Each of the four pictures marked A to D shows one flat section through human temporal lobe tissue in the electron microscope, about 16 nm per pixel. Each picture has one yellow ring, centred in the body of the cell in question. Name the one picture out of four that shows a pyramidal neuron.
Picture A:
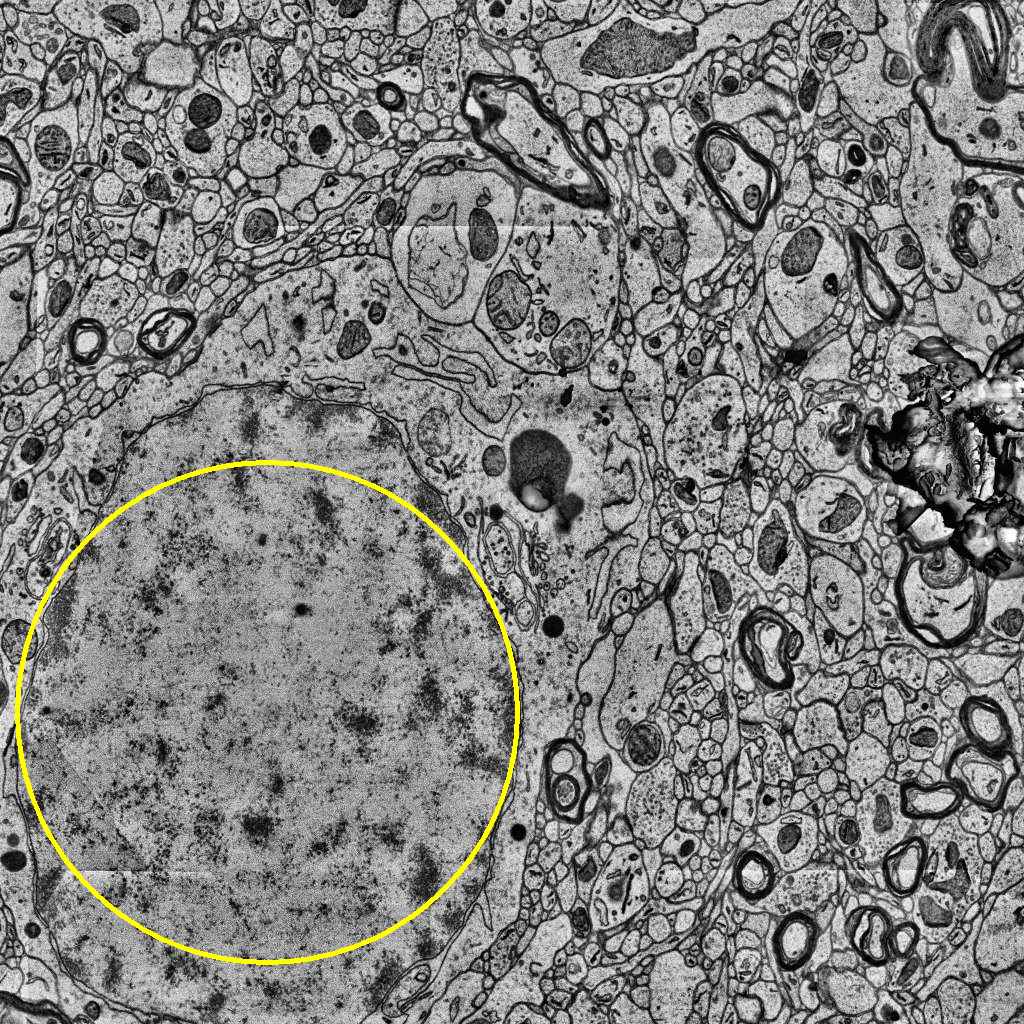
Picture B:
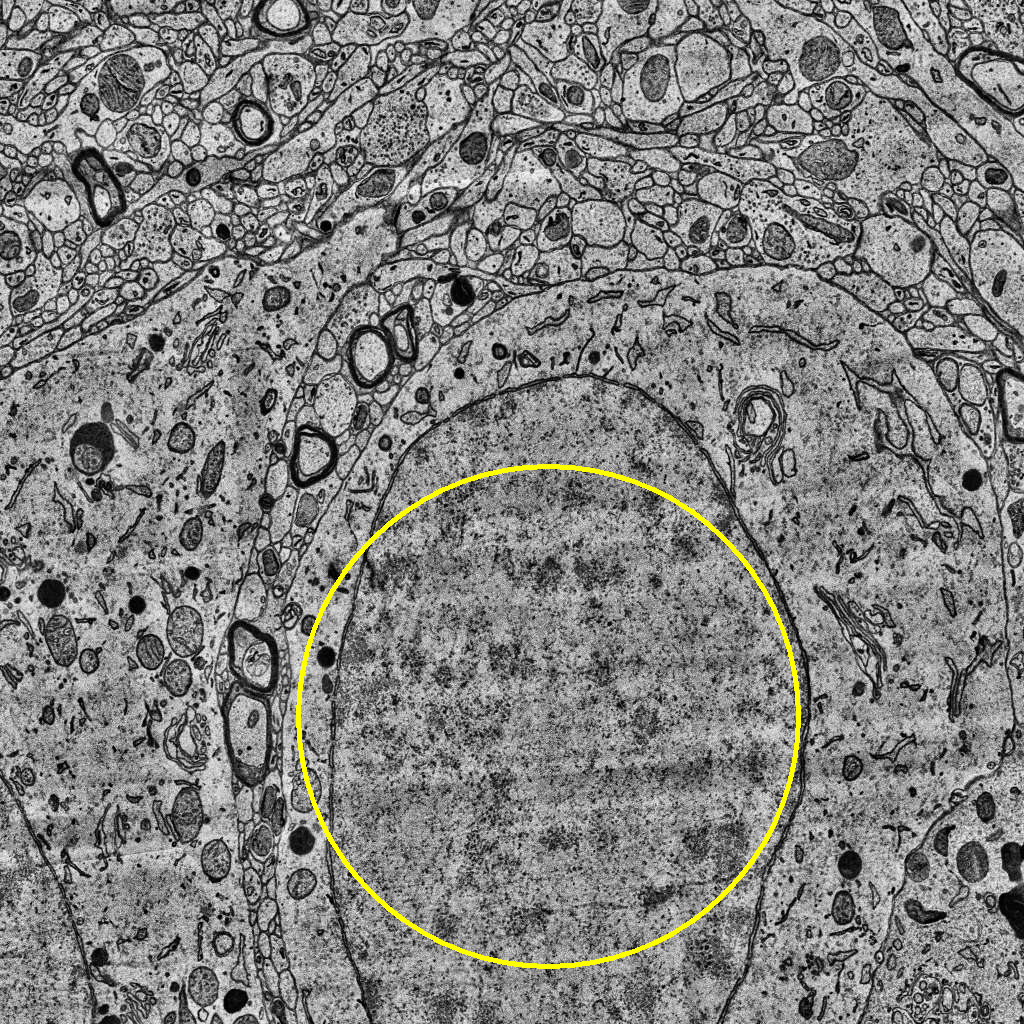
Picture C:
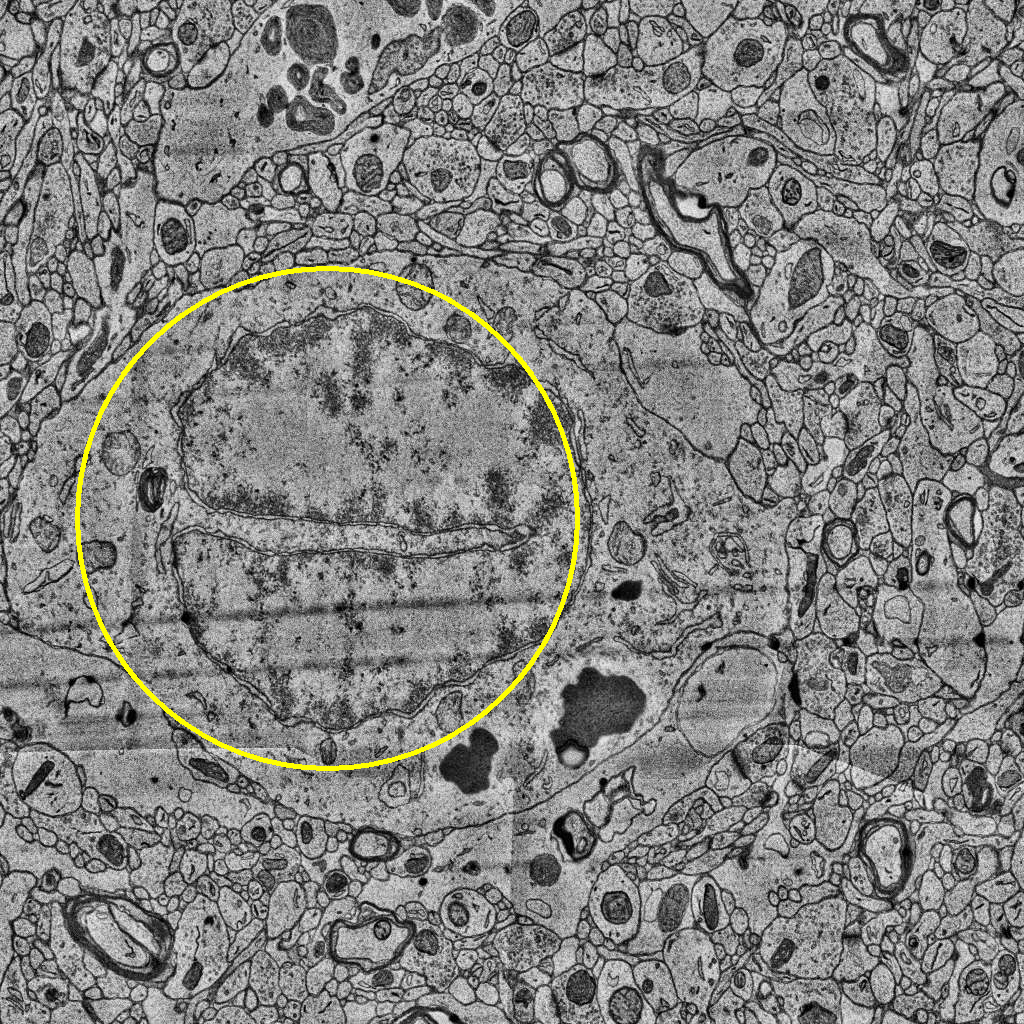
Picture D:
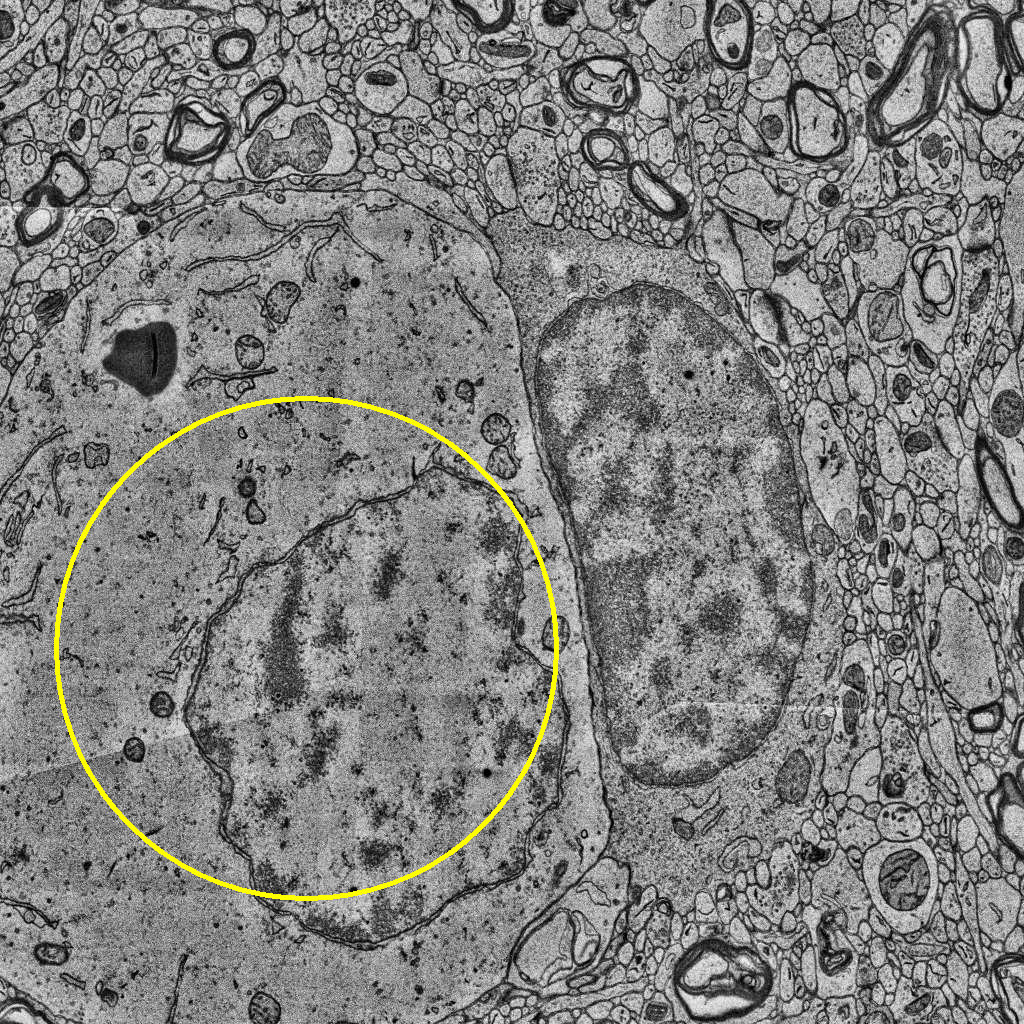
Picture B shows the pyramidal neuron.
